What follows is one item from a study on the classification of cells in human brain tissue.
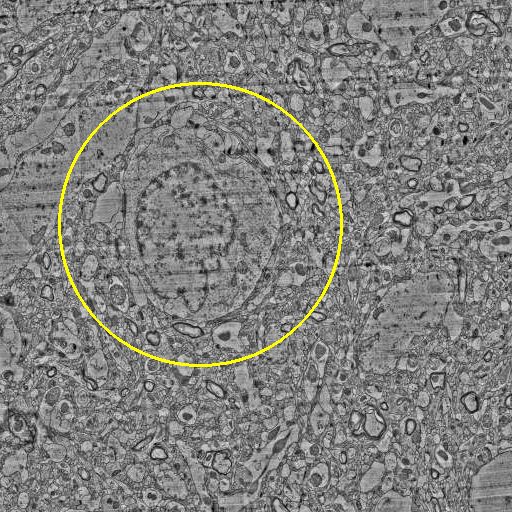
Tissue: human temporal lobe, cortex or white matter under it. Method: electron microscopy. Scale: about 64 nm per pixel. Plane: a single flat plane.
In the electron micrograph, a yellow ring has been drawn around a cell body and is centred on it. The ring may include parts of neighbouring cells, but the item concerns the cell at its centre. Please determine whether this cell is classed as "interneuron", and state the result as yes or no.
yes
